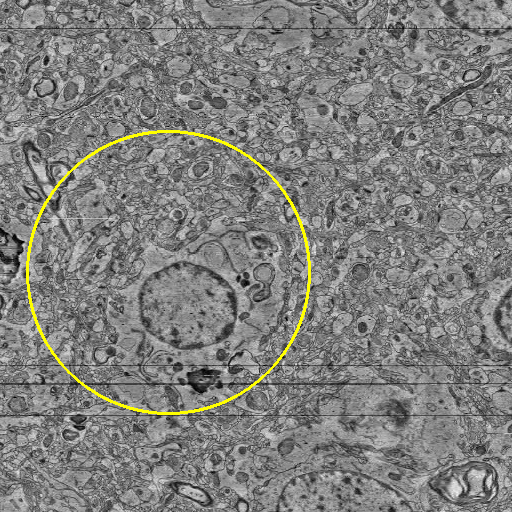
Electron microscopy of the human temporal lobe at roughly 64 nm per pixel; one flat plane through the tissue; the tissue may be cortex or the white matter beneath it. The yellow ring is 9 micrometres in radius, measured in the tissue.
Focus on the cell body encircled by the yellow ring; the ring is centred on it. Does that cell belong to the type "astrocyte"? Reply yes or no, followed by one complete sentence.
Yes, that type fits the cell lying at the centre of the ring in the picture.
